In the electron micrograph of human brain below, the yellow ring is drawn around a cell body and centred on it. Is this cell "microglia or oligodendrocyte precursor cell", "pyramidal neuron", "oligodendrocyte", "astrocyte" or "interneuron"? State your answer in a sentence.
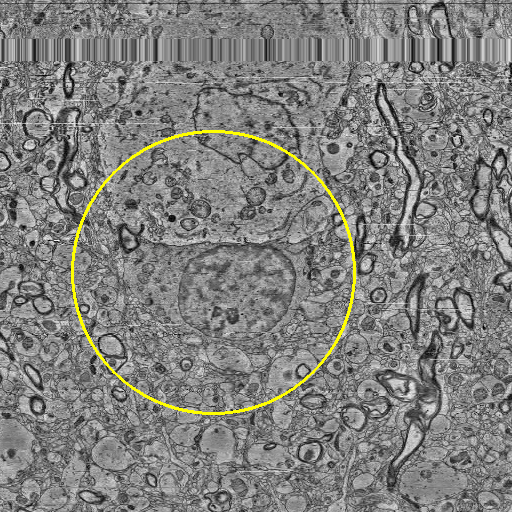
The cell in the middle of the ring is an oligodendrocyte.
